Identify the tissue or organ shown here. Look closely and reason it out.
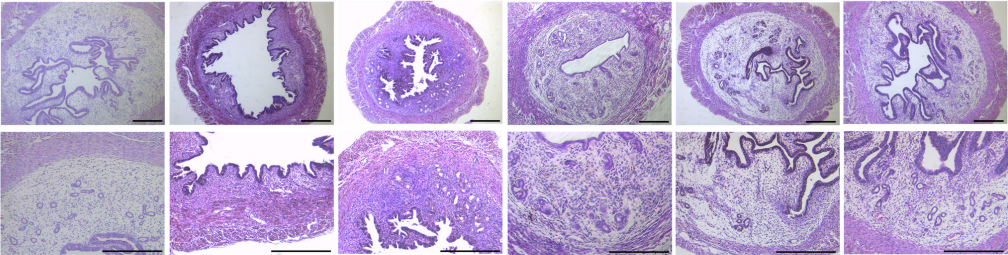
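Uterine tissue. Round cross-sections each with a central lumen. A lining layer around the lumen with tubular glands in a stroma. An outer band of densely stained muscle wall surrounds each section.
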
